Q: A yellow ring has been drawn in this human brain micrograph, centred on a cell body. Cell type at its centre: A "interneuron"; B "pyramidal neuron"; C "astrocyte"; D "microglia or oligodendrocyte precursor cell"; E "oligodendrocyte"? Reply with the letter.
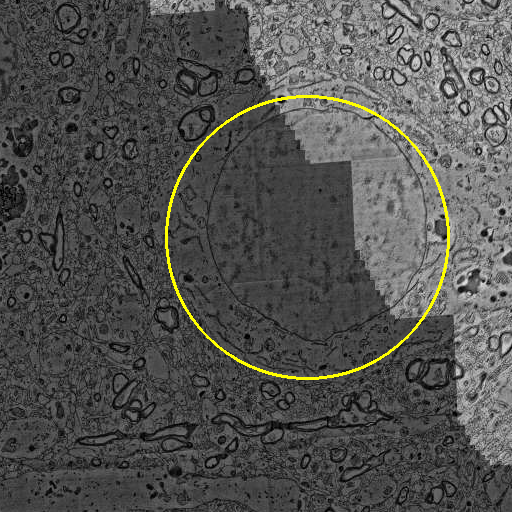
B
